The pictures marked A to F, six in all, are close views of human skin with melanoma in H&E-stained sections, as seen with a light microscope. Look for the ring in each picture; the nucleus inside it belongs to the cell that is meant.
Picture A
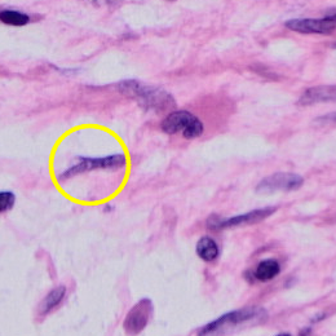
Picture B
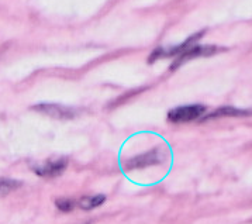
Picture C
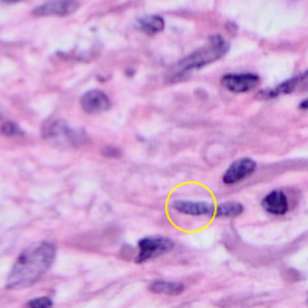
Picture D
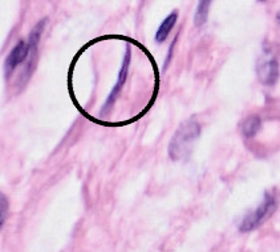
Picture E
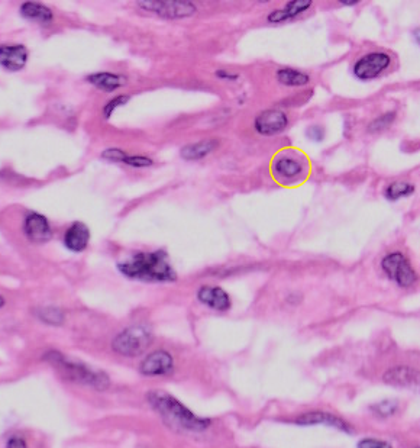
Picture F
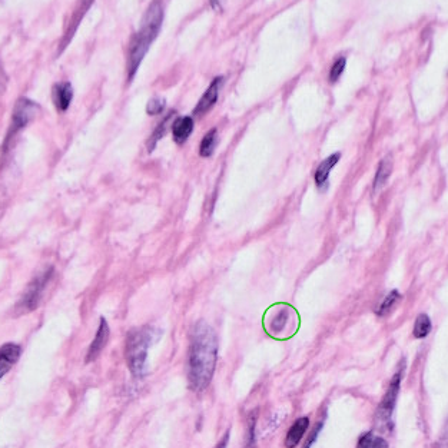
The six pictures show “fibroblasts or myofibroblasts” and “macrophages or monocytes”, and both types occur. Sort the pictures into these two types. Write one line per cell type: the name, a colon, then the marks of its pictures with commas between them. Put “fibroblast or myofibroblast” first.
fibroblast or myofibroblast: A, B, C, D
macrophage or monocyte: E, F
